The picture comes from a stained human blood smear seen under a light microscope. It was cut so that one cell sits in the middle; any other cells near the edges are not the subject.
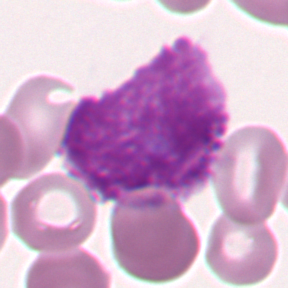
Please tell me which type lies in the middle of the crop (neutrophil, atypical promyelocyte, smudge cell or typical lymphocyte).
smudge cell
